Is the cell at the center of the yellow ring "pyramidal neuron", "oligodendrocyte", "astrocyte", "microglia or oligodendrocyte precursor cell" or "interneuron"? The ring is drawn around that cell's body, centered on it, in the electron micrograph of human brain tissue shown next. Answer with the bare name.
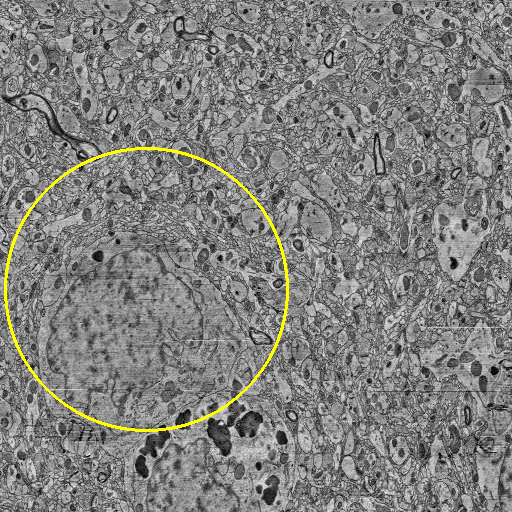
interneuron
